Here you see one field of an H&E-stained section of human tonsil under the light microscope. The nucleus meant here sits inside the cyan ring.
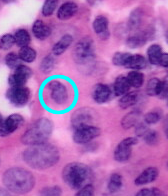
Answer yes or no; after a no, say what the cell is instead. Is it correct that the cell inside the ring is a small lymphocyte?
No, it is an endothelial cell.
